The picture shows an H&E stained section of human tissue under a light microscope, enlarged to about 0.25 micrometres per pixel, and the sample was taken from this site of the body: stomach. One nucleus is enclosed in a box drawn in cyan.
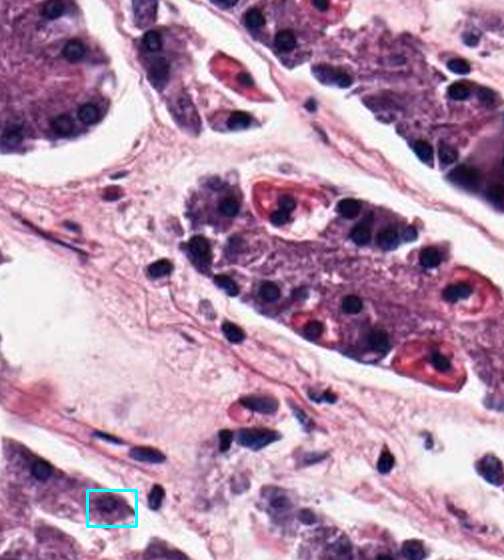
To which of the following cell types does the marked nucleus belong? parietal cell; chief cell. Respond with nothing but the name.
chief cell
